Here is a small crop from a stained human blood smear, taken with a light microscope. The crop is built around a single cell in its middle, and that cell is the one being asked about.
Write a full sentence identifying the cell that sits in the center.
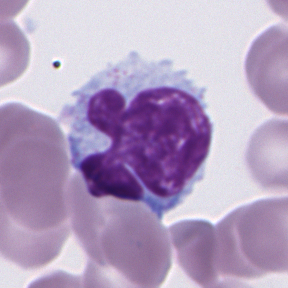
The cell of interest, in the center, is a monocyte.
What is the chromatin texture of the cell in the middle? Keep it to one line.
The chromatin is delicate and fine, lacking coarse clumping entirely.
